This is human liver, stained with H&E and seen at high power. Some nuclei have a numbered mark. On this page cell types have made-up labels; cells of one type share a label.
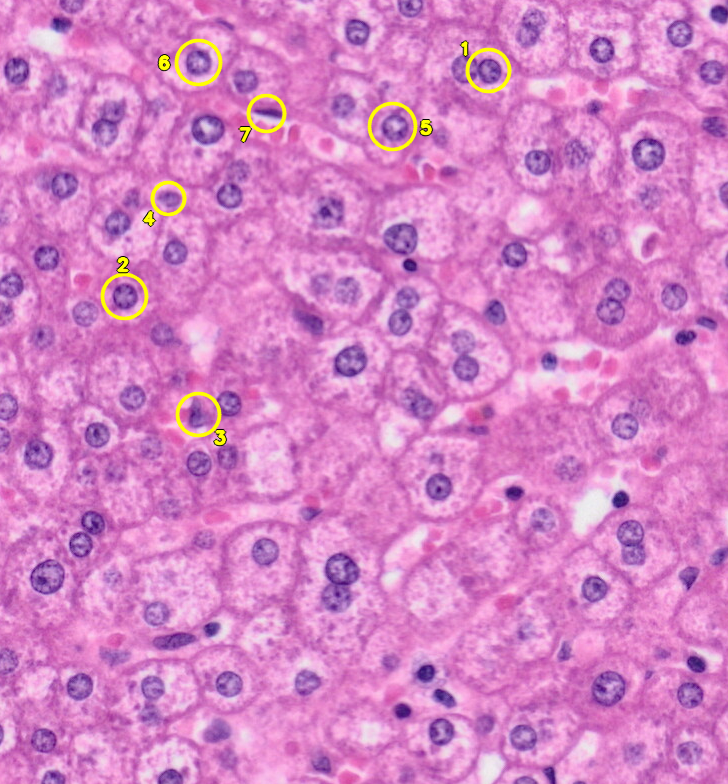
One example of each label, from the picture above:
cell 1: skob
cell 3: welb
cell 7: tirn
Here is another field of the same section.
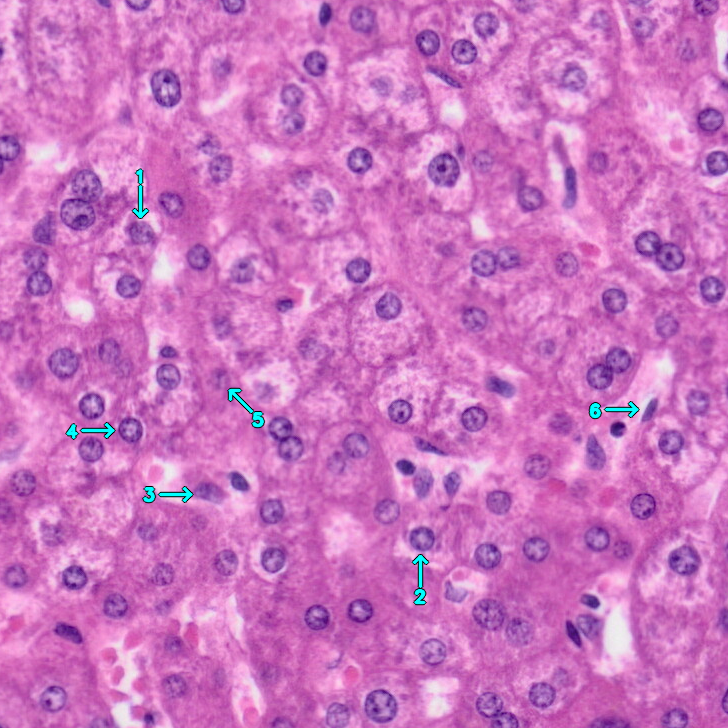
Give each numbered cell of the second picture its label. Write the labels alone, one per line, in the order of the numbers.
skob
skob
welb
skob
skob
tirn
